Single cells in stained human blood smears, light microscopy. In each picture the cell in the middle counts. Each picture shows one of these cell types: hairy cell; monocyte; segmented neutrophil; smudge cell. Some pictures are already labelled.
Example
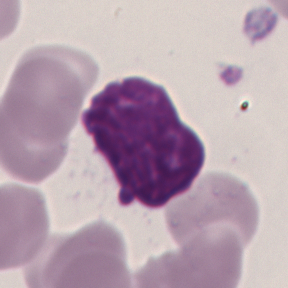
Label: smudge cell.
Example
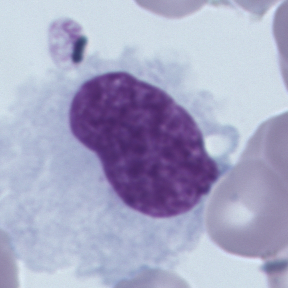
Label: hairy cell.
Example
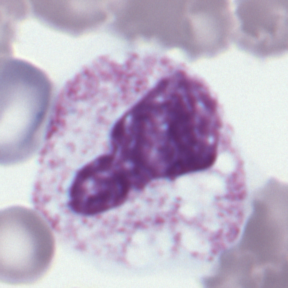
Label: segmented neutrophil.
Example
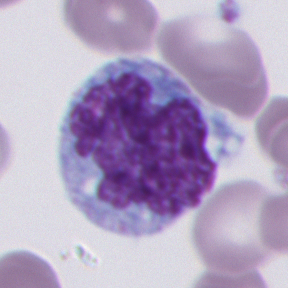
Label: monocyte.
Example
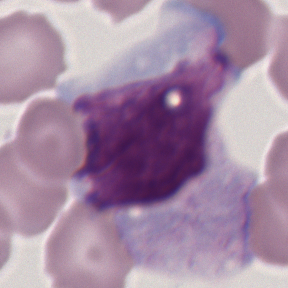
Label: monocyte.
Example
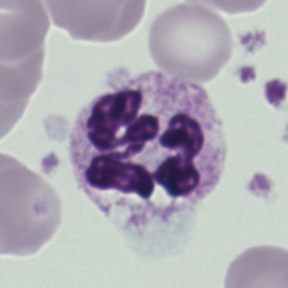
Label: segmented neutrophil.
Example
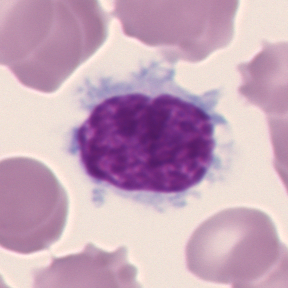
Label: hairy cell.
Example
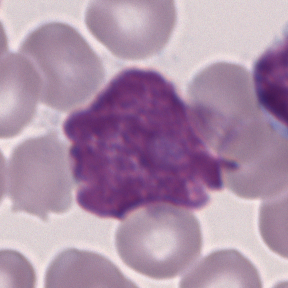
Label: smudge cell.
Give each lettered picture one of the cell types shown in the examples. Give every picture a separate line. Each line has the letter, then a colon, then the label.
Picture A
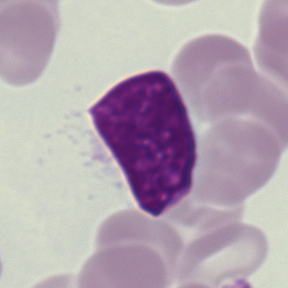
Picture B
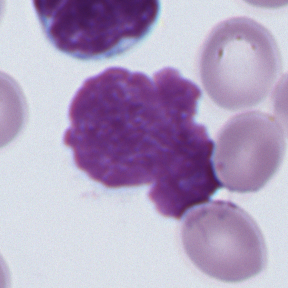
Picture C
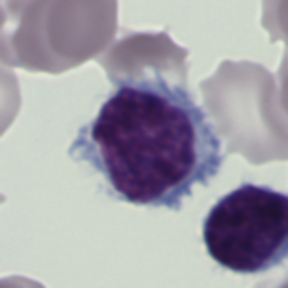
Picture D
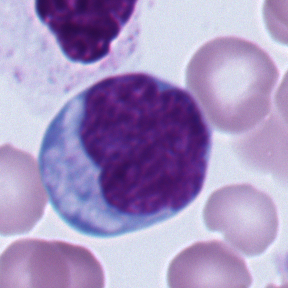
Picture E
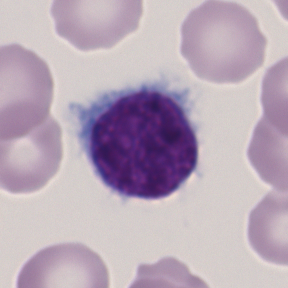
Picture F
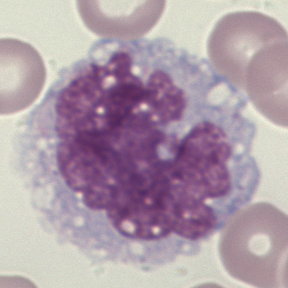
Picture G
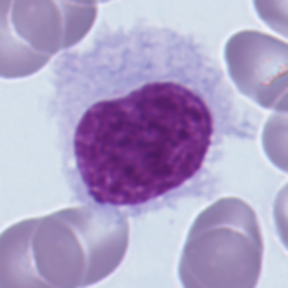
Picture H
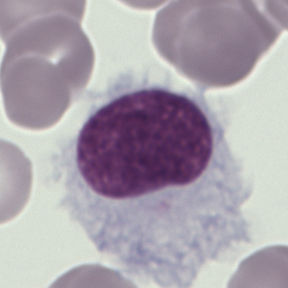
A: smudge cell.
B: smudge cell.
C: hairy cell.
D: monocyte.
E: hairy cell.
F: monocyte.
G: hairy cell.
H: hairy cell.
